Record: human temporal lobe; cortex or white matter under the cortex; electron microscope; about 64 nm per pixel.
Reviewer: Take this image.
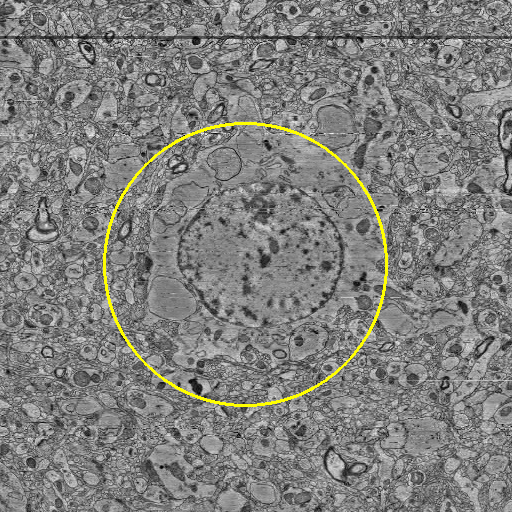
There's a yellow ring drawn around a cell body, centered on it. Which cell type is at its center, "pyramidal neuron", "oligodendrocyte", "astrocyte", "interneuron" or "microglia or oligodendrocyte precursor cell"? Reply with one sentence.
At the center of the yellow ring is an astrocyte.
